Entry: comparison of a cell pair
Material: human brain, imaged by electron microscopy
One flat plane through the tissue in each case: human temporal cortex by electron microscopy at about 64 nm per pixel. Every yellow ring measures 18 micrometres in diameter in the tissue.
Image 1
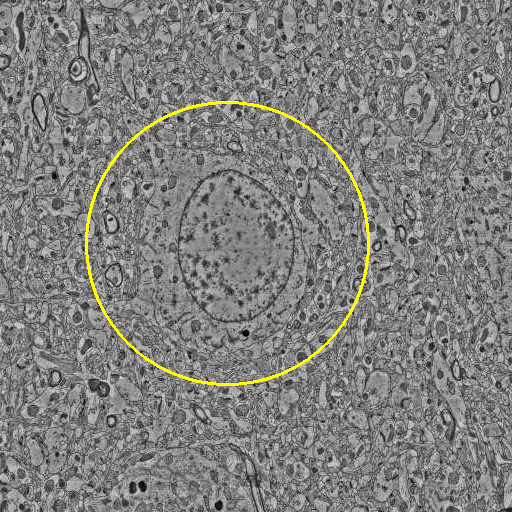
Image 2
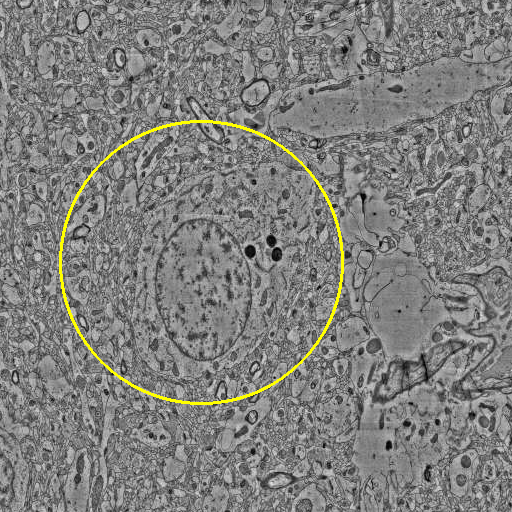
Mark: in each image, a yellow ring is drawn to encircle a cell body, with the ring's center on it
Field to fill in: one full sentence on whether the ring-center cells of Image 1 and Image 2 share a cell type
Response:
Yes, Image 1 and Image 2 each show a ring-center cell of one shared type.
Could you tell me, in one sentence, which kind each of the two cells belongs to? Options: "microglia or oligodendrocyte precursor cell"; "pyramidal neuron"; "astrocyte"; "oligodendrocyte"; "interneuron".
In each of the two pictures, the ringed cell is a pyramidal neuron.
